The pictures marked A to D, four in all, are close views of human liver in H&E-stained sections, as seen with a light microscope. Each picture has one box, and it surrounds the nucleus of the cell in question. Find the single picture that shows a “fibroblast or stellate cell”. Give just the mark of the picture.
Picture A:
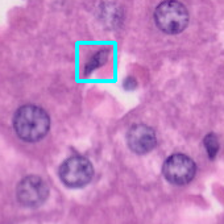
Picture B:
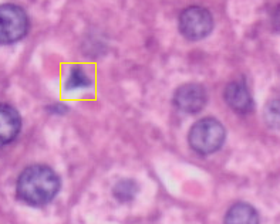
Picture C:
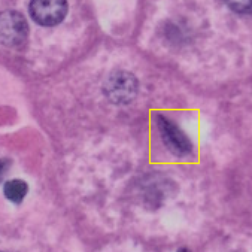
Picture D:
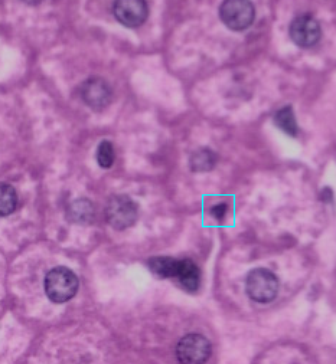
D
